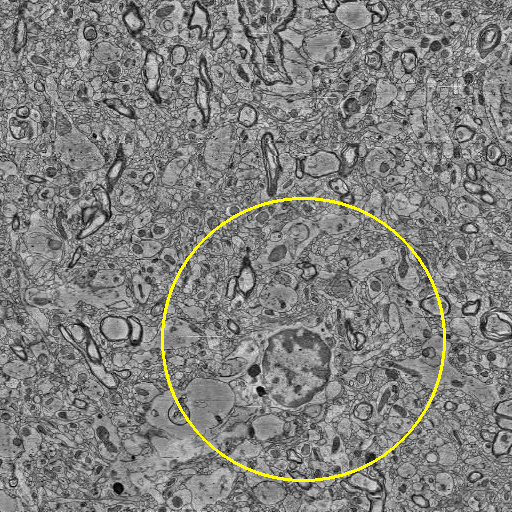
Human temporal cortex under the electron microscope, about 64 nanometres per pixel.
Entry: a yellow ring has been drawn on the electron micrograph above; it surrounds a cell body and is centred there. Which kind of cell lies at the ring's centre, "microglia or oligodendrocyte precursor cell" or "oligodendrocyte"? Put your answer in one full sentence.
The cell sitting at the ring's centre is a microglial cell or oligodendrocyte precursor cell in the micrograph above.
